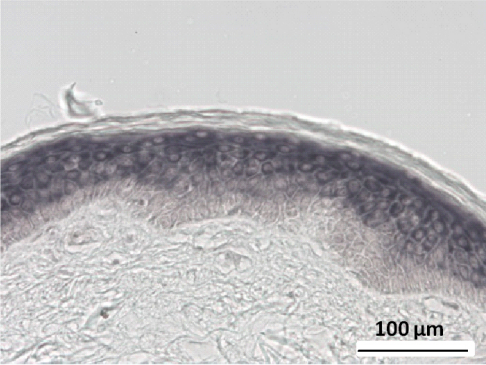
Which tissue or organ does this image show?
skin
